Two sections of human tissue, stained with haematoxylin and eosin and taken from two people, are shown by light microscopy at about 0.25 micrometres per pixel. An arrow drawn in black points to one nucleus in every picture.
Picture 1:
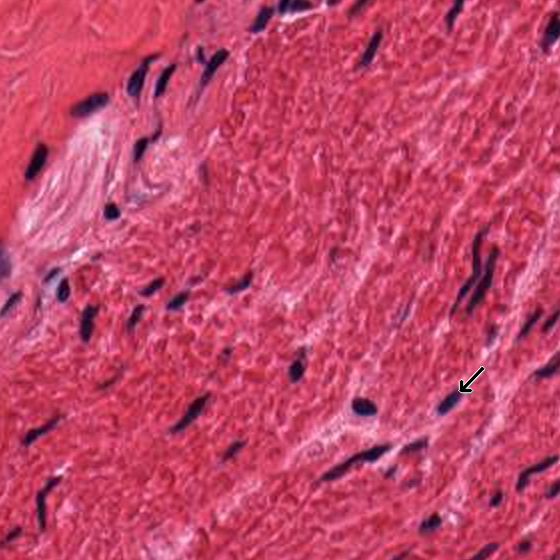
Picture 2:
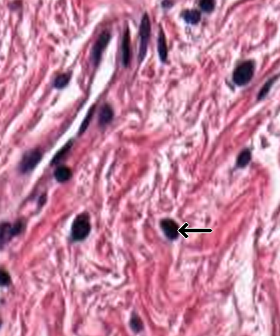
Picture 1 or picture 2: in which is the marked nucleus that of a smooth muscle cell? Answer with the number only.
1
